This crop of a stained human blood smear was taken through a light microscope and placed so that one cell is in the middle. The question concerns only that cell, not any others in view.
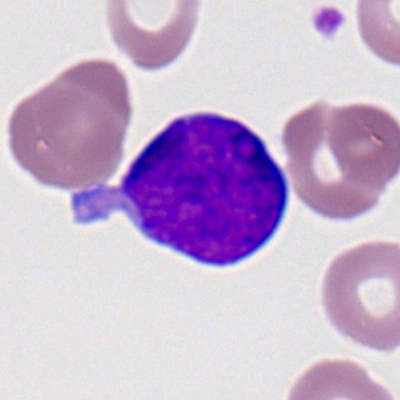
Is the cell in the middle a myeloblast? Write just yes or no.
yes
